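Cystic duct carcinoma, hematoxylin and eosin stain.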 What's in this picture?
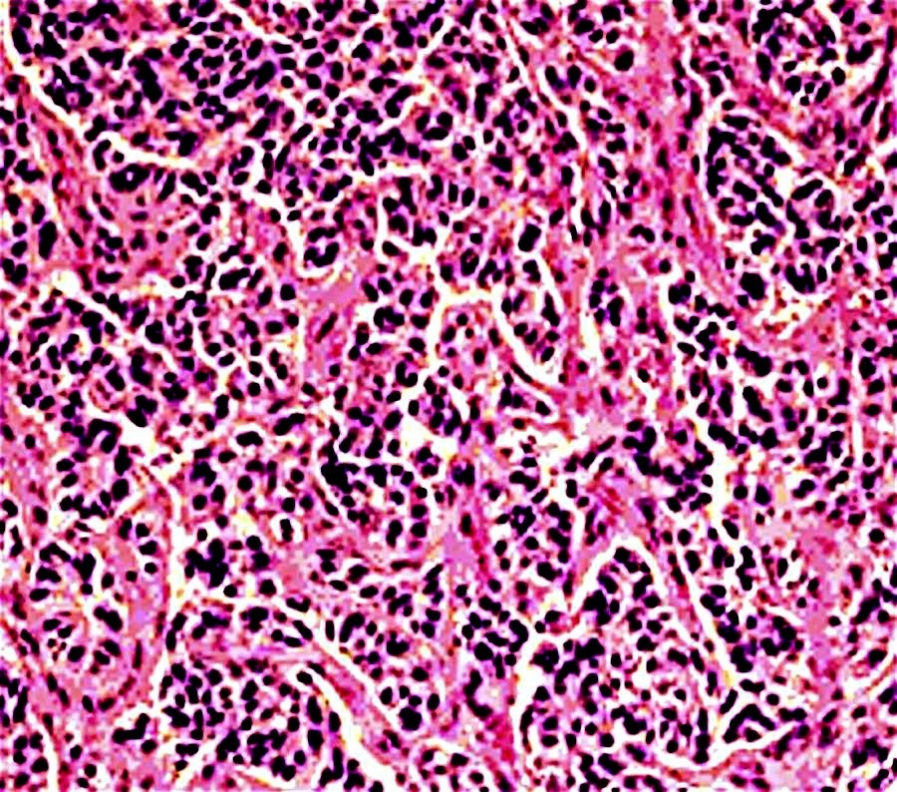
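The cells are crowded, with small round to oval nuclei that stain dark purple and show little visible detail. There is little cytoplasm, so the nuclei lie close together and dominate the picture. The cells form rounded clusters and branching ribbon-like strands. Thin bands of pink stroma run between and around the groups, and narrow clear clefts often separate the cell groups from this stroma. No glands with open central spaces are seen; the growth pattern is solid, with nests and cords throughout the field.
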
